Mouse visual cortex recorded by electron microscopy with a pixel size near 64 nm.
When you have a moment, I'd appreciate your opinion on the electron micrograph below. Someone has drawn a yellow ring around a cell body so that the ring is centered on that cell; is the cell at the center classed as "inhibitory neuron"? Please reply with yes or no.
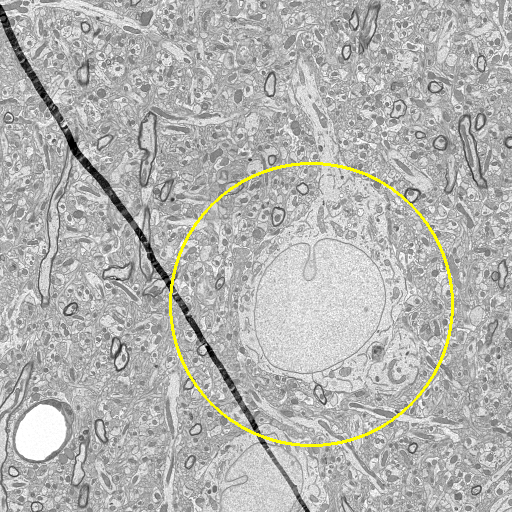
No, that cell belongs to another kind.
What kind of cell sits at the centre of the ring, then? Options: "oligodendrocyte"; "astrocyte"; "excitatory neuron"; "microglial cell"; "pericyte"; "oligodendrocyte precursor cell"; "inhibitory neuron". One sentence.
The cell shown in the ring is an excitatory neuron.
